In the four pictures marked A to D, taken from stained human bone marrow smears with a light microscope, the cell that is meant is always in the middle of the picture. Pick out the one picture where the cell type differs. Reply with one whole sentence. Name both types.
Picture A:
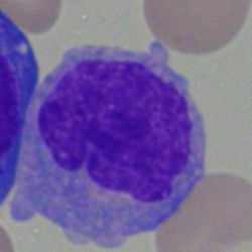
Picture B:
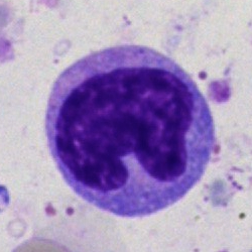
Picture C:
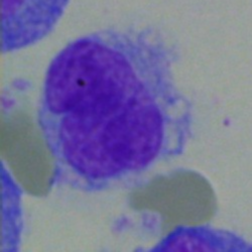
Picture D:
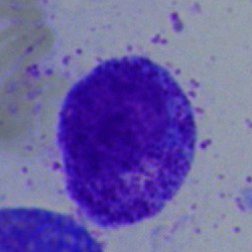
Unlike the rest, which show monocytes, picture D shows a myelocyte.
